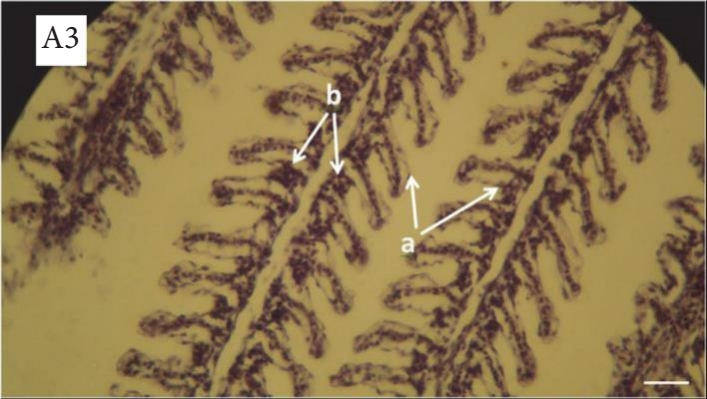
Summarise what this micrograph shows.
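This section of fish gill shows several long gill filaments, each with a pale central band along its axis. Many slender, finger-like secondary lamellae project from both sides of each filament. The lamellae are packed with dark purple nuclei. In places, a thin, pale outer covering stands away from the darker core of a lamella, and the bases of the lamellae are thickened by crowded cells.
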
